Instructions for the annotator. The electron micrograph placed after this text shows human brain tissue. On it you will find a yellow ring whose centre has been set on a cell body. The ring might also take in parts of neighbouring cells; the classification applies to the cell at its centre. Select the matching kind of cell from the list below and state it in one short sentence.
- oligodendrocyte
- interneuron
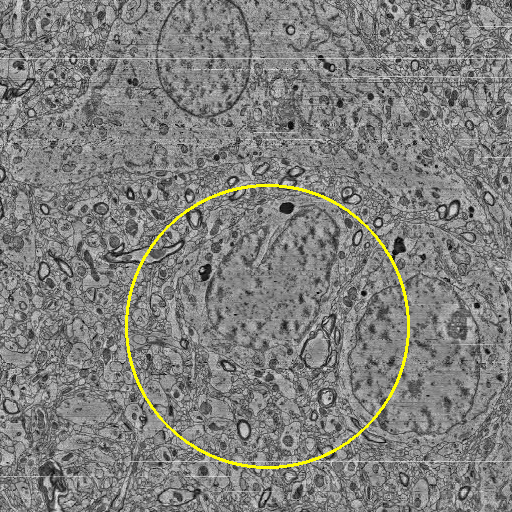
The ring is drawn on the cell body of an interneuron.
